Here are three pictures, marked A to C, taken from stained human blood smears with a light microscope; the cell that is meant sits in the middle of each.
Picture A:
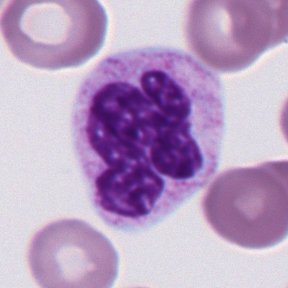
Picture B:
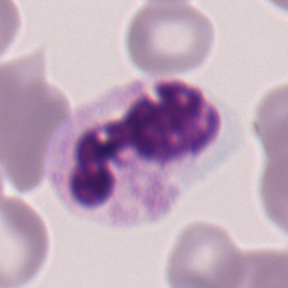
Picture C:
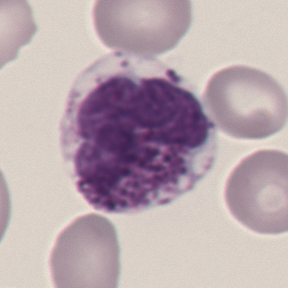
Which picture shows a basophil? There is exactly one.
C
